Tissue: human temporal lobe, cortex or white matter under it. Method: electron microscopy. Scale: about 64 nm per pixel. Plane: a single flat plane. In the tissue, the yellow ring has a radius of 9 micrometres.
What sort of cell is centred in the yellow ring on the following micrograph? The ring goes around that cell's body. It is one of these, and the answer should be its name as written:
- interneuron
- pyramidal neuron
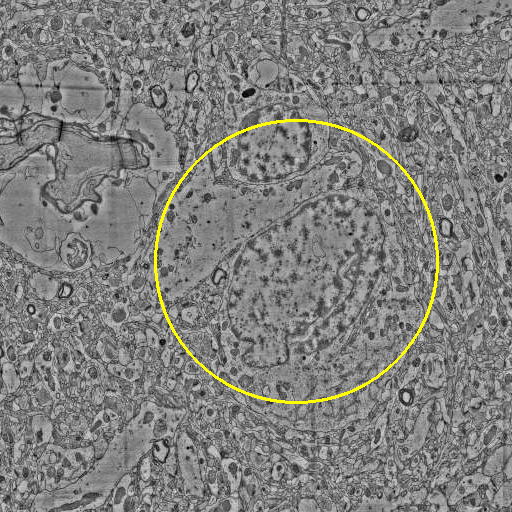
interneuron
